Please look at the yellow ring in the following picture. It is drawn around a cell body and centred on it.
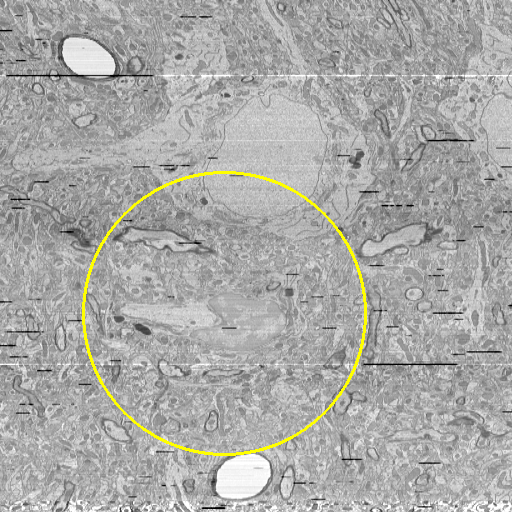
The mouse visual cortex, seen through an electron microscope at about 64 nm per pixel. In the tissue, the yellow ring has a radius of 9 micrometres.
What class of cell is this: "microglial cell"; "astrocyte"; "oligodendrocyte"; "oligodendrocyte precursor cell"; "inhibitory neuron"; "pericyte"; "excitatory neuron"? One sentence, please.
The ring surrounds the cell body of a microglial cell.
